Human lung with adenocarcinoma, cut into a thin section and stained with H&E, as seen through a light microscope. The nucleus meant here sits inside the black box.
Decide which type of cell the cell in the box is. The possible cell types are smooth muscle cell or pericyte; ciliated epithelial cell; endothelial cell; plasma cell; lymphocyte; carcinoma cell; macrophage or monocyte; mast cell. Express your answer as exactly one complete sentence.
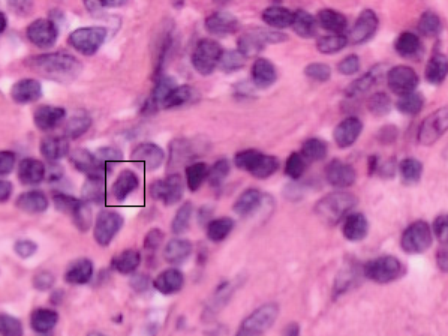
In this section of tissue, the cell in the box is a lymphocyte.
